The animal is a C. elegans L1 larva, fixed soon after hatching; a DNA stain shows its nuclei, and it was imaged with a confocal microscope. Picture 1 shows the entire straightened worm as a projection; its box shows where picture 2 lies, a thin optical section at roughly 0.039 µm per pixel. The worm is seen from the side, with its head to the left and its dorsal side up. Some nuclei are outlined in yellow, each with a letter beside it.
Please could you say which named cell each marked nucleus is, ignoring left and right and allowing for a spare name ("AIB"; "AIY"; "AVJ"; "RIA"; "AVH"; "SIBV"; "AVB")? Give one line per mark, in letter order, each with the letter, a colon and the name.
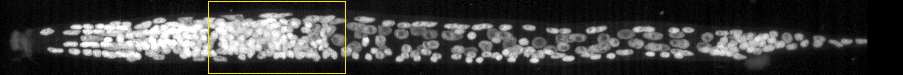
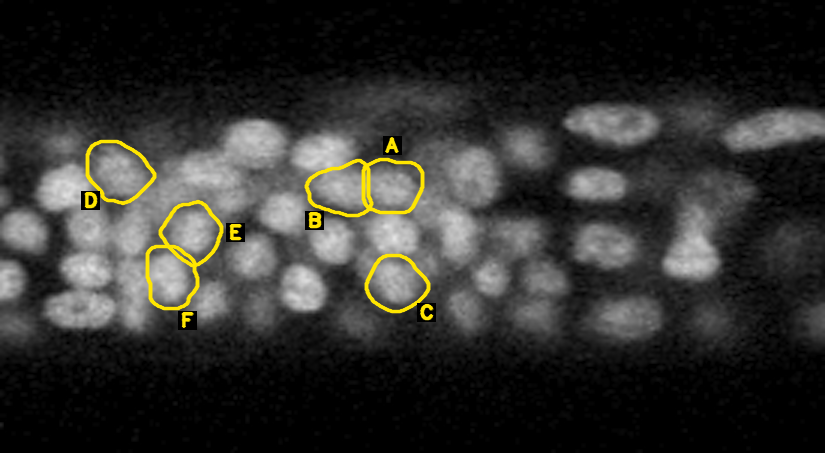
A: AVJ
B: AVB
C: AIY
D: RIA
E: AIB
F: SIBV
